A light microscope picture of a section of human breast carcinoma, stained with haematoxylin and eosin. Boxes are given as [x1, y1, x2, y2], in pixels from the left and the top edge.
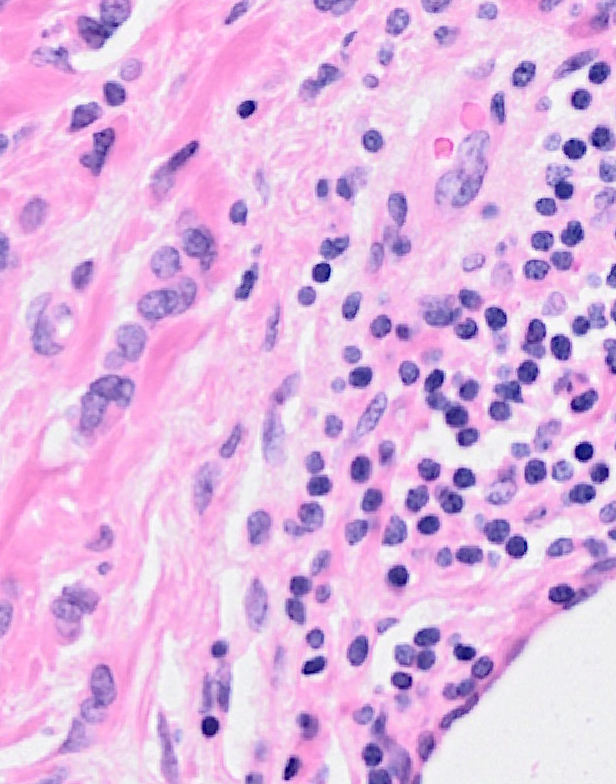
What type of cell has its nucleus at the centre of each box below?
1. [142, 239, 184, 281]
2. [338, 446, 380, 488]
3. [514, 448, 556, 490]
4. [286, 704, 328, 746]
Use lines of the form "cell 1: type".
cell 1: carcinoma cell
cell 2: lymphocyte
cell 3: lymphocyte
cell 4: lymphocyte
